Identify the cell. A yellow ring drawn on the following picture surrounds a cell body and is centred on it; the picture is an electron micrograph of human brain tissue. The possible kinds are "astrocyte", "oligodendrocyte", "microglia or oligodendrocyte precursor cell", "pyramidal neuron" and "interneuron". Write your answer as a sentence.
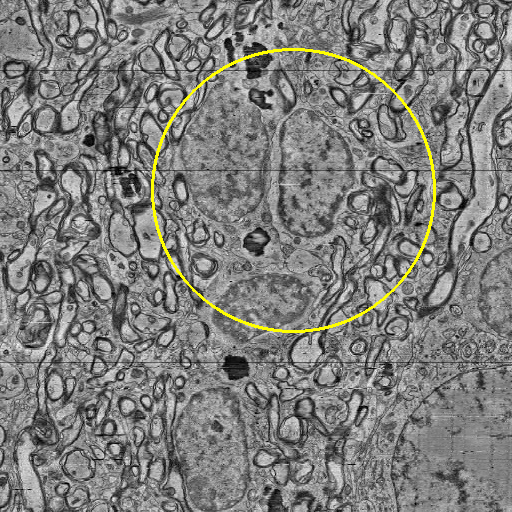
The cell identified by the ring is a microglial cell or oligodendrocyte precursor cell.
